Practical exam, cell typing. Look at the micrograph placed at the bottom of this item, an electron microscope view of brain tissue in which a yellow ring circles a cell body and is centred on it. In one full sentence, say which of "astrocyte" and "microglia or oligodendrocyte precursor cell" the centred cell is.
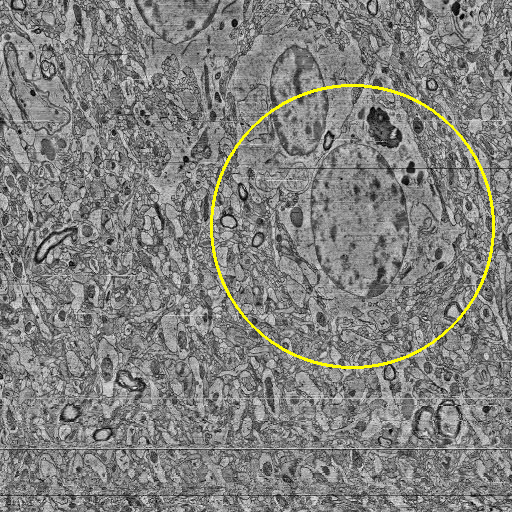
Given the options, an astrocyte fits the cell whose body the yellow ring is centred on.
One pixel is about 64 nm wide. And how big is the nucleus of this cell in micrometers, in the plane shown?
At approximately 11 by 6 micrometres, the nucleus is clearly longer than it is wide in this plane.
